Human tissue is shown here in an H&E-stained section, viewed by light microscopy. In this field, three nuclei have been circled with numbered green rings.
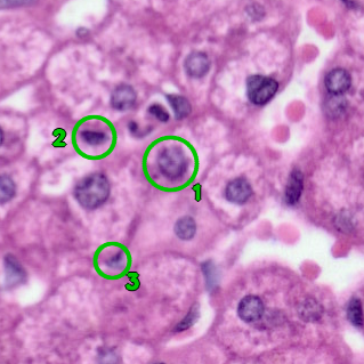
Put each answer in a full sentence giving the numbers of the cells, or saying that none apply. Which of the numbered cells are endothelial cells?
Cell 3 is an endothelial cell, and this holds for no other numbered cell.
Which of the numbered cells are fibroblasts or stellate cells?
Among the labelled cells, only the cell labelled 2 is a fibroblast or stellate cell.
